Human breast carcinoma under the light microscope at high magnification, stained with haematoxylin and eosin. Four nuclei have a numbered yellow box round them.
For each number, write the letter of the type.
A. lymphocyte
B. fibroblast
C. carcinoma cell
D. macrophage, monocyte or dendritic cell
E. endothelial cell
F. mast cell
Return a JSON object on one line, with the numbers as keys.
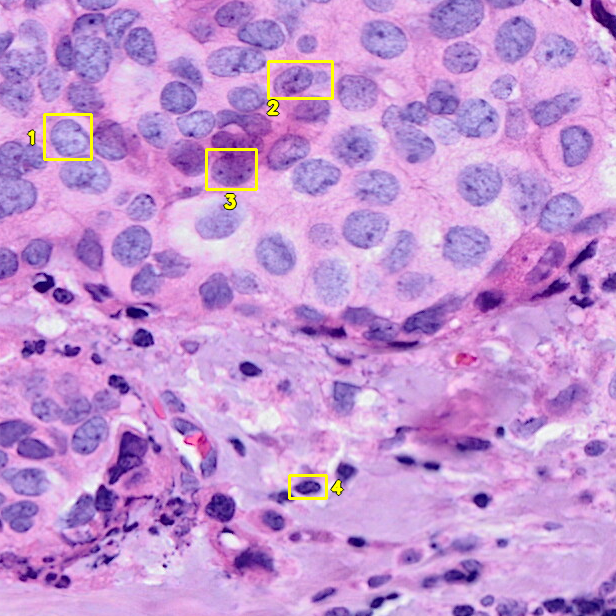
{"1": "C", "2": "C", "3": "C", "4": "A"}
